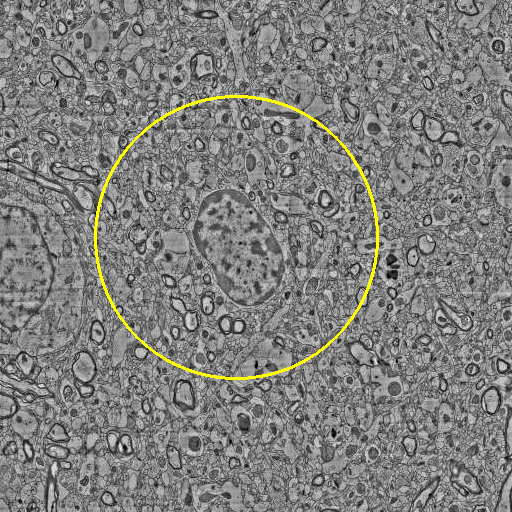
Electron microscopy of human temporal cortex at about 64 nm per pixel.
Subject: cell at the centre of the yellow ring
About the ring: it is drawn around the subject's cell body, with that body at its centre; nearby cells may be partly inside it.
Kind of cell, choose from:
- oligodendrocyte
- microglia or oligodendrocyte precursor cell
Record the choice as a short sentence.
The subject cell is a microglial cell or oligodendrocyte precursor cell.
